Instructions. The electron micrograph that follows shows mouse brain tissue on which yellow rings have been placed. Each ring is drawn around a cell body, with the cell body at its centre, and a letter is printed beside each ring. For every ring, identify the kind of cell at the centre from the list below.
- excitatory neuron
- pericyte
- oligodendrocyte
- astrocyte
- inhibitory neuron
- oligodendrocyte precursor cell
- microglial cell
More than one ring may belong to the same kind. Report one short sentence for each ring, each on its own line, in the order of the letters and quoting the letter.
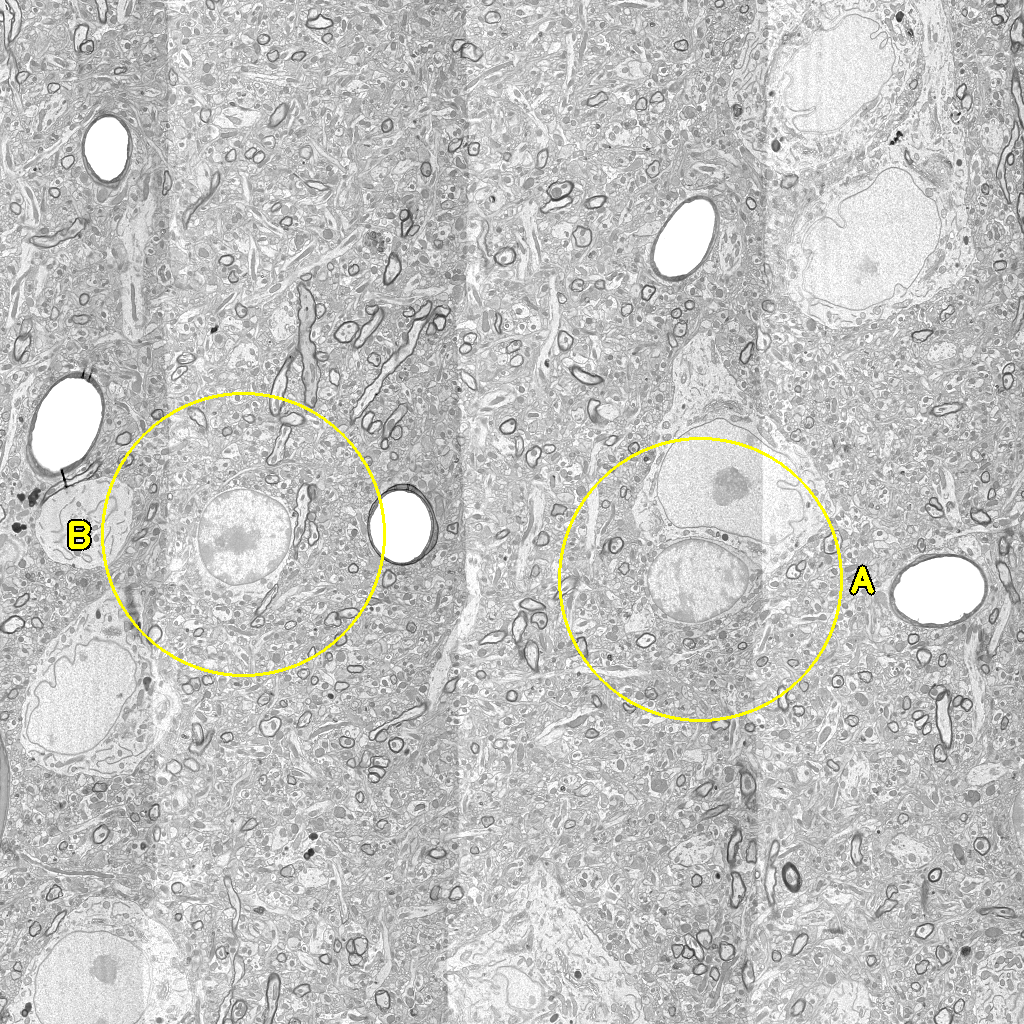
The centre of ring A is occupied by an oligodendrocyte.
The centre of ring B is occupied by an oligodendrocyte.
